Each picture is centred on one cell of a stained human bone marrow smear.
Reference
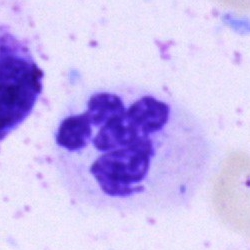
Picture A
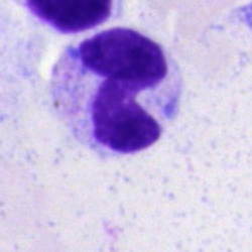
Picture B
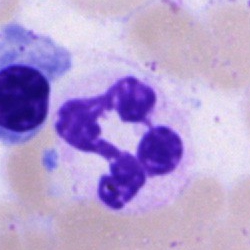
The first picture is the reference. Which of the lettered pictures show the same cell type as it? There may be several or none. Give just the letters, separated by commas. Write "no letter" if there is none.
A, B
